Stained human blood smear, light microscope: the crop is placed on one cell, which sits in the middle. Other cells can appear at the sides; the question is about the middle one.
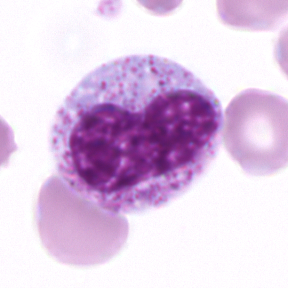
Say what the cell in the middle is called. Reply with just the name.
band neutrophil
